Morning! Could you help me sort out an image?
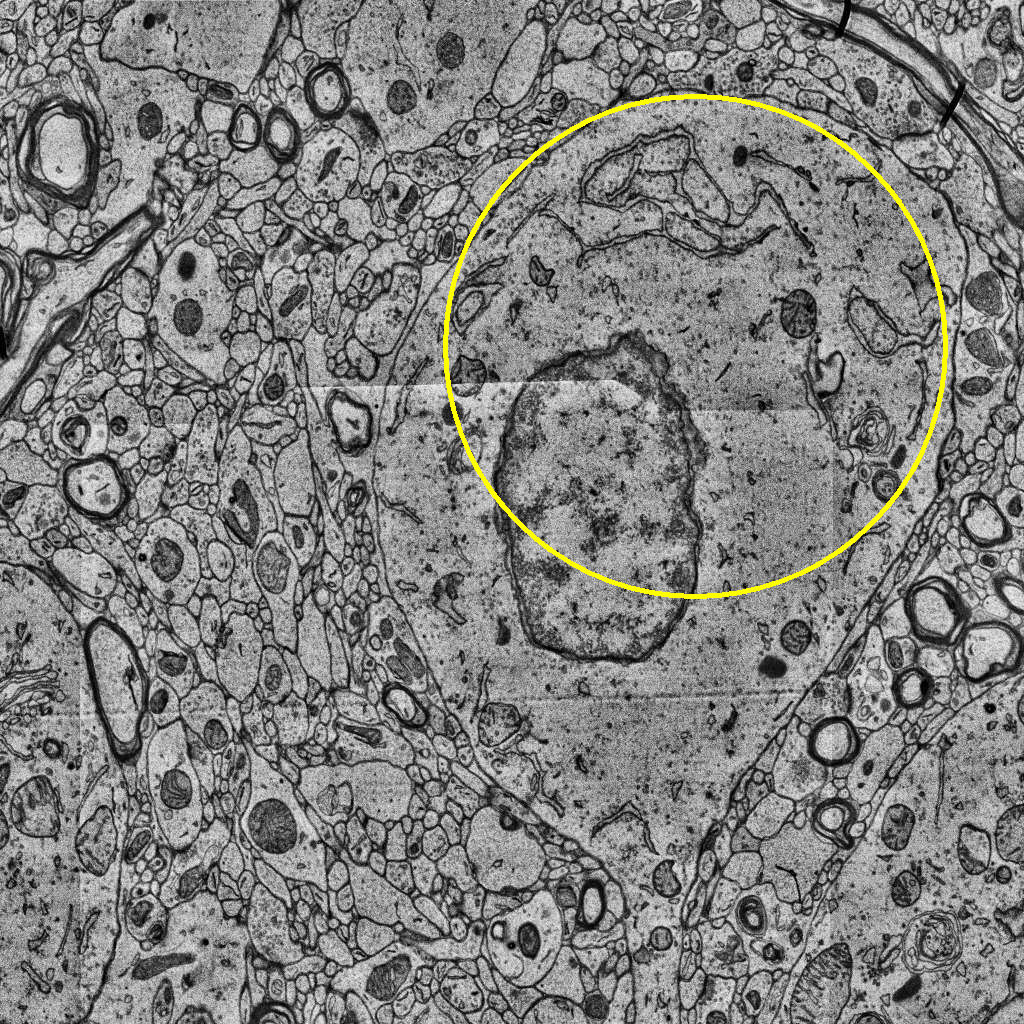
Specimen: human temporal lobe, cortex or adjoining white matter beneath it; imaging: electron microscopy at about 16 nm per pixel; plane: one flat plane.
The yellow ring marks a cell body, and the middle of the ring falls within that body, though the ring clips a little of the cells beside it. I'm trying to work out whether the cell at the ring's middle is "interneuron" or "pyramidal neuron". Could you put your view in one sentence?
The cell body at the ring's middle is that of a pyramidal neuron.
